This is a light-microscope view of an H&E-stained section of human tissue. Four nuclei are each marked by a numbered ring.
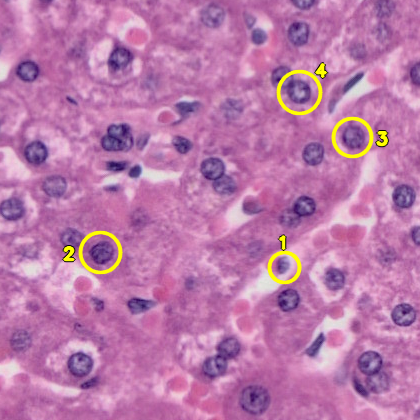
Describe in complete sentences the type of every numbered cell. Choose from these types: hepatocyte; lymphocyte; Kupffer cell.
Cell 1 is a lymphocyte, cell 2 is a hepatocyte, cell 3 is a hepatocyte and cell 4 is a hepatocyte.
